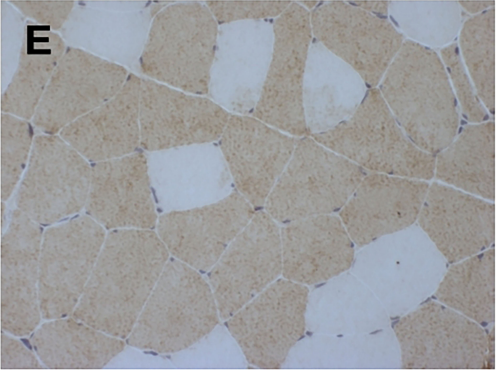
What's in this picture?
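This section of skeletal muscle shows fibers in cross-section, most of them stained a light brown and a smaller number left pale and unstained. The stained fibers outnumber the unstained ones and are scattered in a mosaic with them. Fibers differ in size, and small bluish nuclei lie at the fiber edges and in the narrow spaces between them.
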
